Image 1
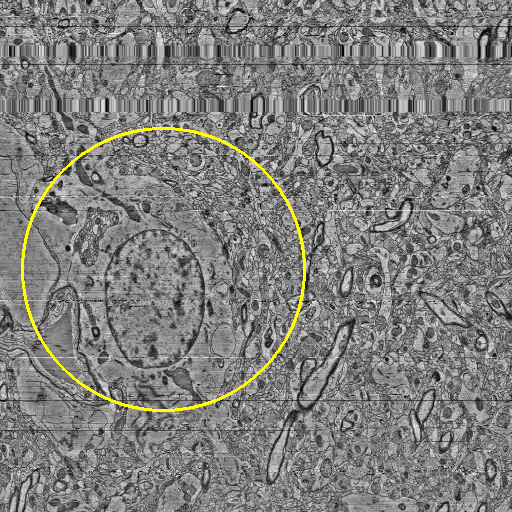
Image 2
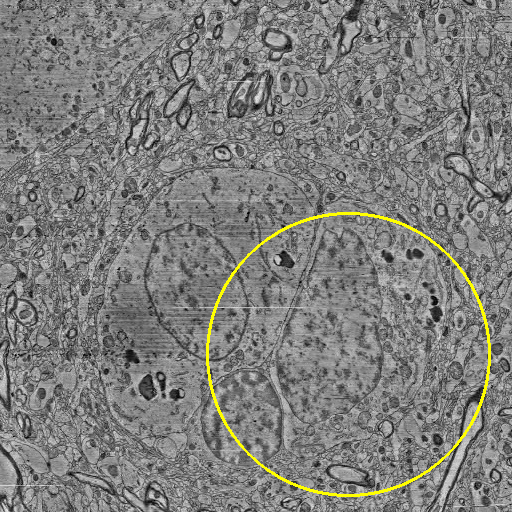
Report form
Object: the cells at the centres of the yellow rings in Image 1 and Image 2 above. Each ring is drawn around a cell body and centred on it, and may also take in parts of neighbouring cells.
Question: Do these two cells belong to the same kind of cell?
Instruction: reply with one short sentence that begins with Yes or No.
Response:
No, they belong to two kinds of cell.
